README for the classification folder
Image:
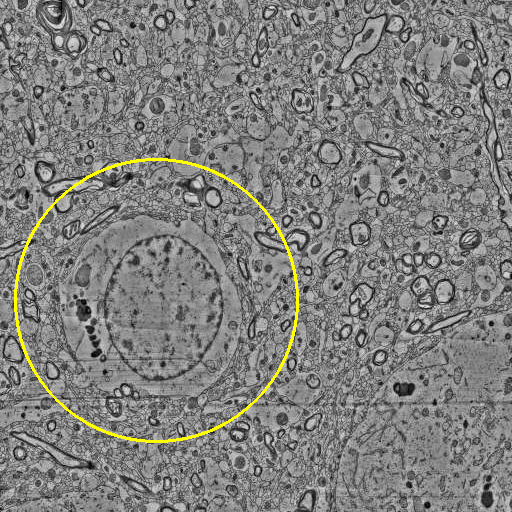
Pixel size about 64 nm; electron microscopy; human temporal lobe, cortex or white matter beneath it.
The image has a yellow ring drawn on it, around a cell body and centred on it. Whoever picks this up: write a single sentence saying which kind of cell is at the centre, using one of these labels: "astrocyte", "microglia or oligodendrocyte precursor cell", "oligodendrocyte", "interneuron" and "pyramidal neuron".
This cell body is that of an astrocyte.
